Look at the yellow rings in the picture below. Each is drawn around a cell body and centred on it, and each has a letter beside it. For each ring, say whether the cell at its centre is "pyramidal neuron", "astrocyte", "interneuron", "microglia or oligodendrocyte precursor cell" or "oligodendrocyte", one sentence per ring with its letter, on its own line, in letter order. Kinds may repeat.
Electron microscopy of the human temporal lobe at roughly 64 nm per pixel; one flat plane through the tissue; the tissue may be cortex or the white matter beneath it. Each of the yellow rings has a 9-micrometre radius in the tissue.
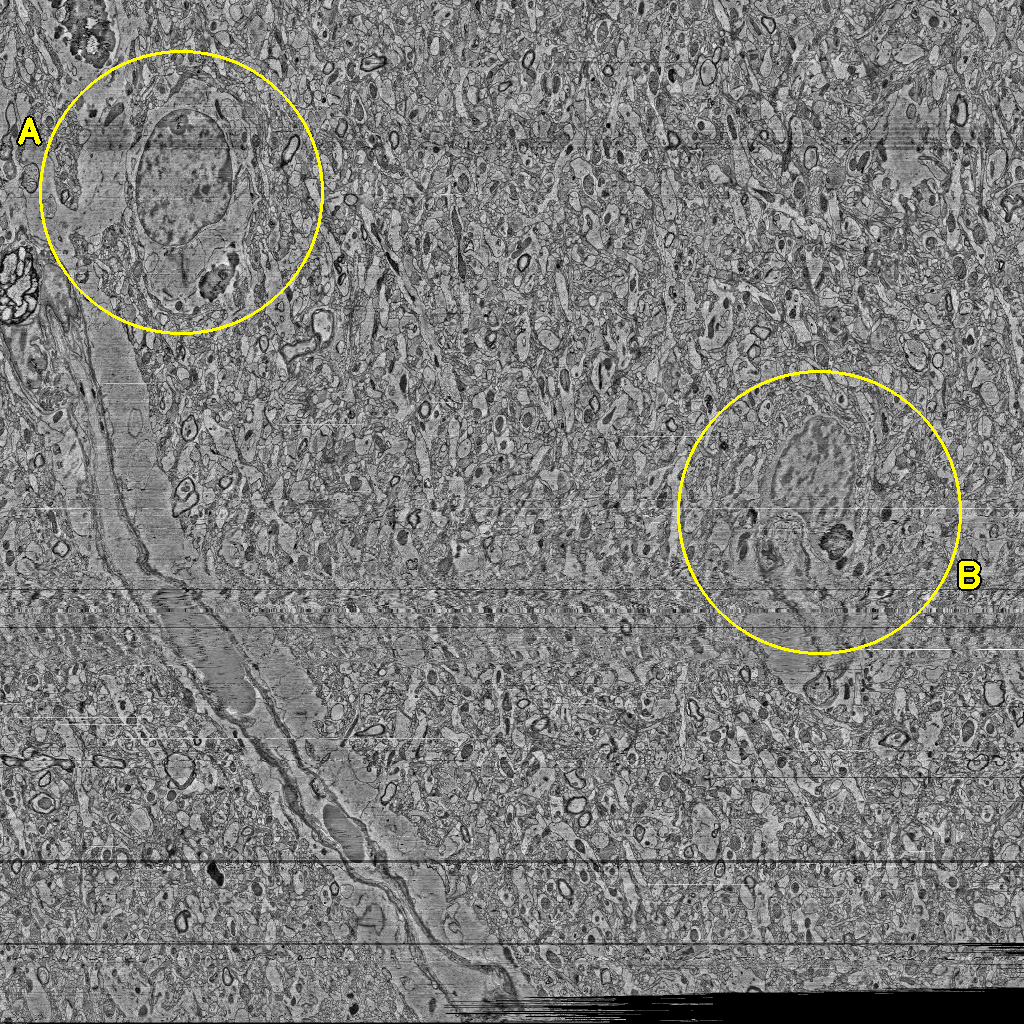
The centred cell of ring A is an astrocyte.
The centred cell of ring B is an oligodendrocyte.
